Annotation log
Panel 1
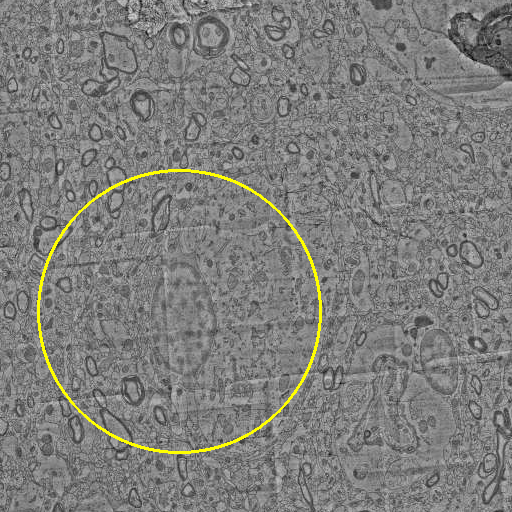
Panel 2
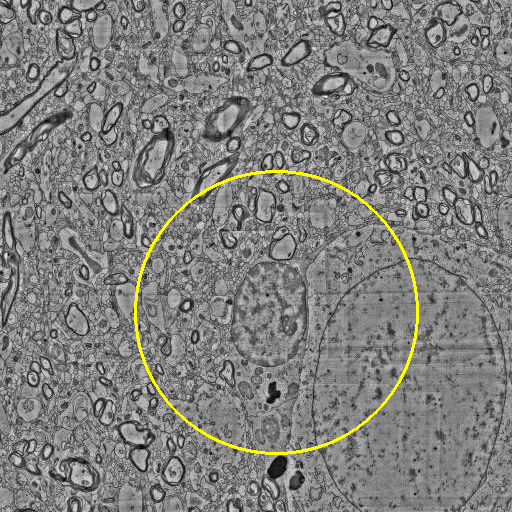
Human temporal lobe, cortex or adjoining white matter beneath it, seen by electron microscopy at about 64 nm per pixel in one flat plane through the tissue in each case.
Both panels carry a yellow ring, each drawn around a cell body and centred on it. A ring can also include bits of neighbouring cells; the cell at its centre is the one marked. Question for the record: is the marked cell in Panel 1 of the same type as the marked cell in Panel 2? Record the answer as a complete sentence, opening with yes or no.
Yes, the marked cells in Panel 1 and Panel 2 are of the same type.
